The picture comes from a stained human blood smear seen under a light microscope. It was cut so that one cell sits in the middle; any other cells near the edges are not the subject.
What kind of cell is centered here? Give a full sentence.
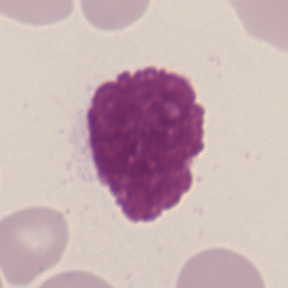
The crop shows a smudge cell in its centre.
